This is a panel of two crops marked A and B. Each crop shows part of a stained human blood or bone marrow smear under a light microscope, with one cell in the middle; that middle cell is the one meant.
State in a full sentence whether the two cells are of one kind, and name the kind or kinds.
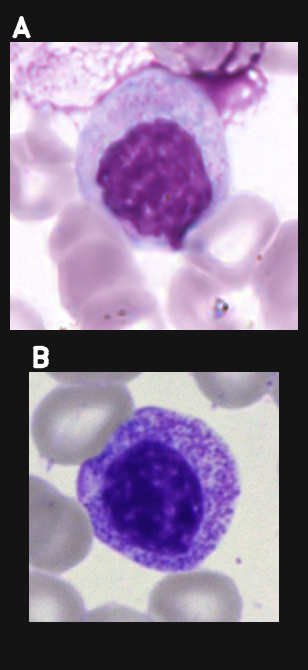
Yes, the cells at the centre of the two crops are both myelocytes.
